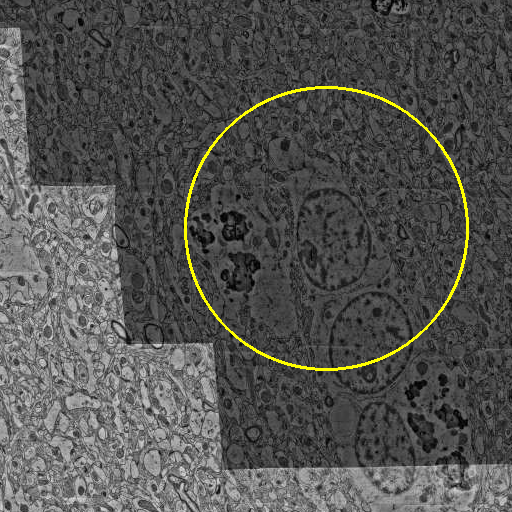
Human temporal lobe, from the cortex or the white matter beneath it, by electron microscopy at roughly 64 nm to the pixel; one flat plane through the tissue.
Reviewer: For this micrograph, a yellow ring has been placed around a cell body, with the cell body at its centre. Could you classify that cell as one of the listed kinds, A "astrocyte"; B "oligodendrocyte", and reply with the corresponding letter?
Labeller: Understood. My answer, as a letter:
A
